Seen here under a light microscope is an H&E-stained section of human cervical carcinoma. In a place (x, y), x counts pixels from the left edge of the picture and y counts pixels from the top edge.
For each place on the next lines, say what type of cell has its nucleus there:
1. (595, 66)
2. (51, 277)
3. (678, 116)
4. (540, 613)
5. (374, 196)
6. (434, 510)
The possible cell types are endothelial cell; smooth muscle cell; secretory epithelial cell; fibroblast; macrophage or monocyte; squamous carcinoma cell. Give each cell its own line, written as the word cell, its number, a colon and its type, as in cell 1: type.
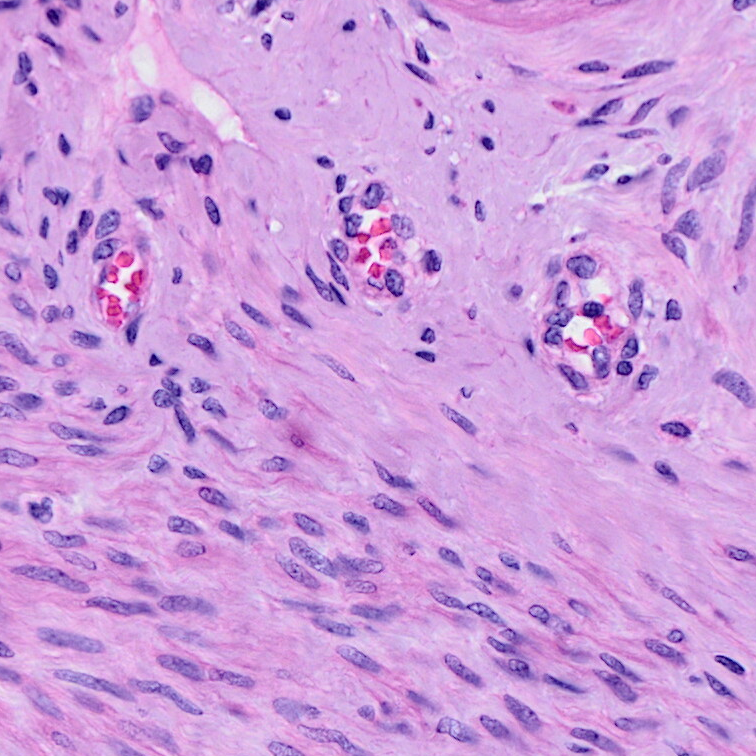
cell 1: fibroblast
cell 2: fibroblast
cell 3: fibroblast
cell 4: smooth muscle cell
cell 5: endothelial cell
cell 6: smooth muscle cell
